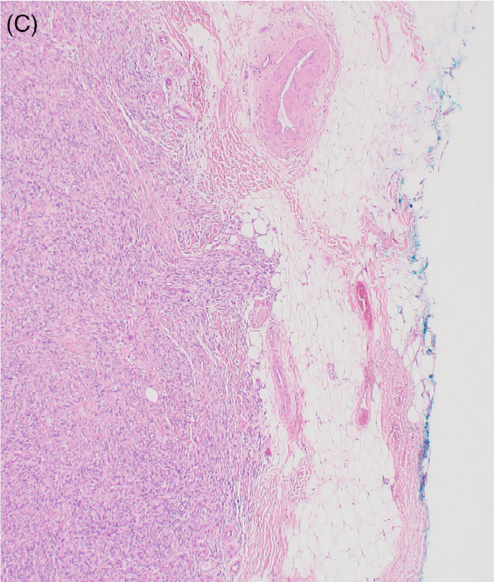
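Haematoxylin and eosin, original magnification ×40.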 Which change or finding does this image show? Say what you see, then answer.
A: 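A pushing border into the subcutis. A dense cellular tumour mass occupies the left side. Adipose tissue and vessels lie on the right side.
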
